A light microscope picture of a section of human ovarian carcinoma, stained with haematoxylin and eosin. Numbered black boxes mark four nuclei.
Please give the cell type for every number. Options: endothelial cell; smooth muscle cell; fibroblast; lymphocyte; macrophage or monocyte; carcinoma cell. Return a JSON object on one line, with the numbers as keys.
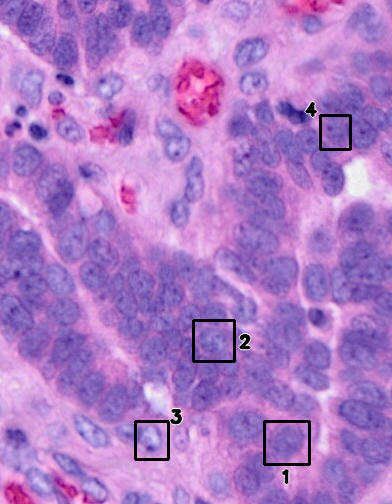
{"1": "carcinoma cell", "2": "carcinoma cell", "3": "fibroblast", "4": "carcinoma cell"}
